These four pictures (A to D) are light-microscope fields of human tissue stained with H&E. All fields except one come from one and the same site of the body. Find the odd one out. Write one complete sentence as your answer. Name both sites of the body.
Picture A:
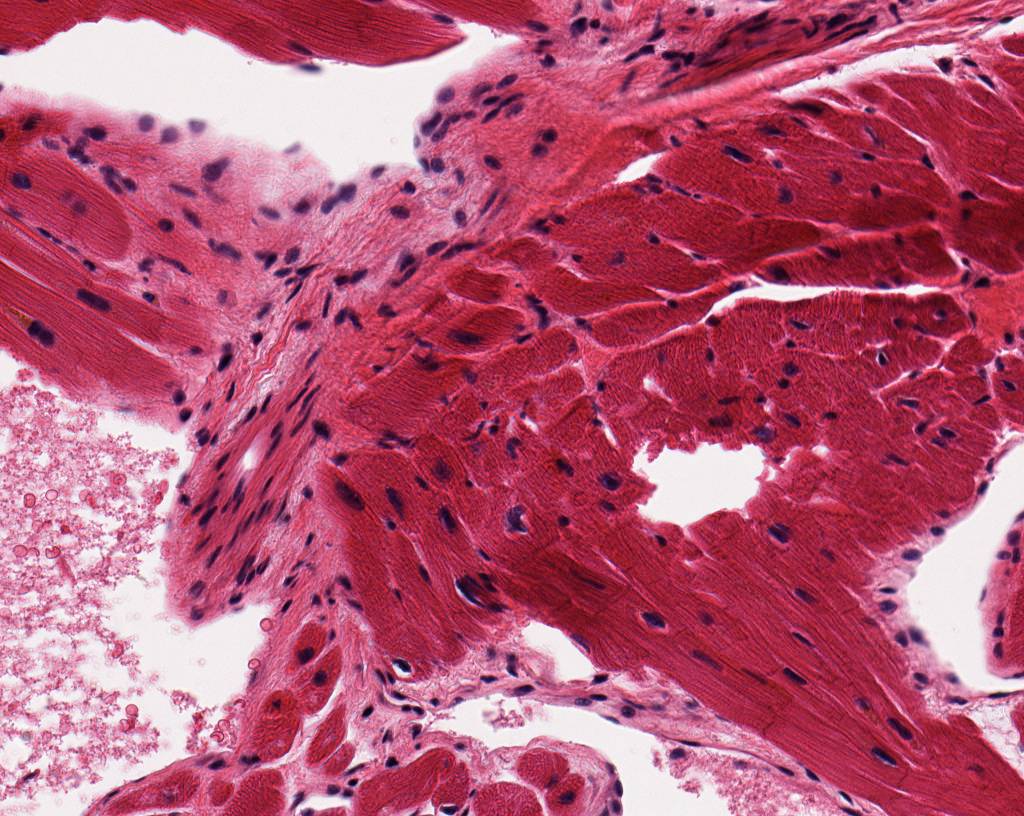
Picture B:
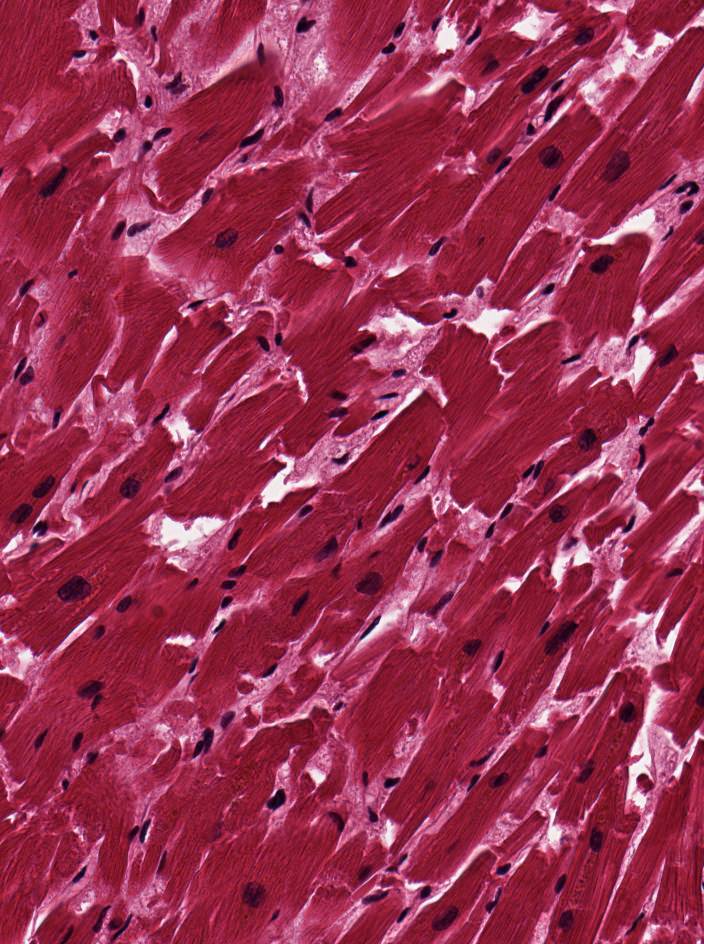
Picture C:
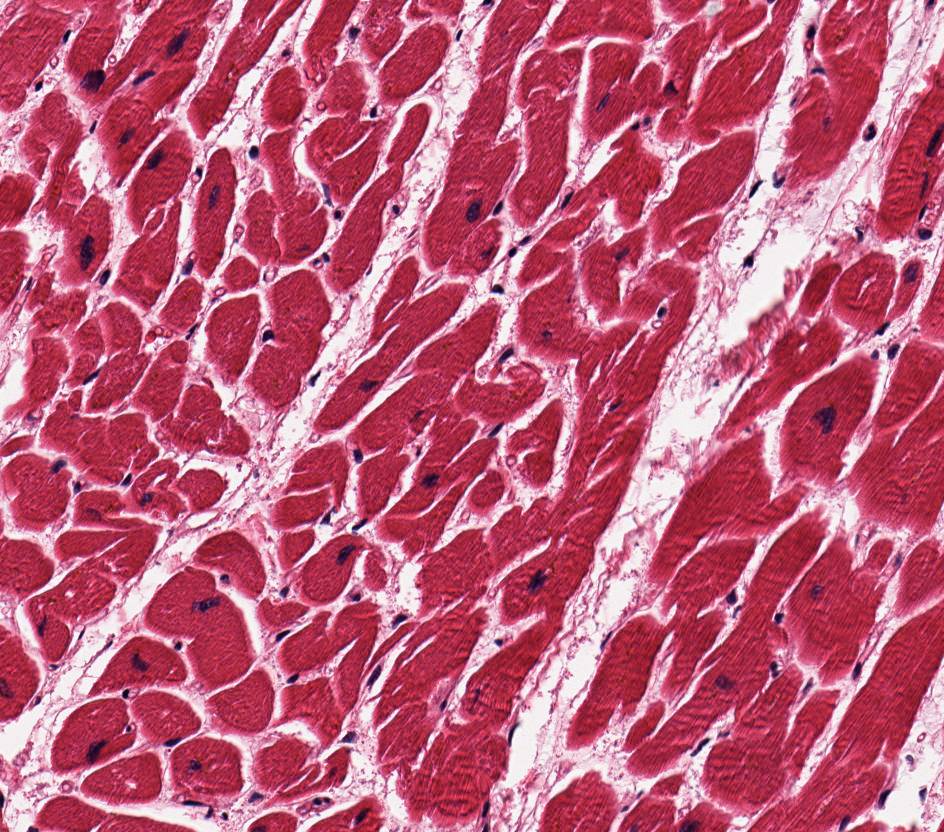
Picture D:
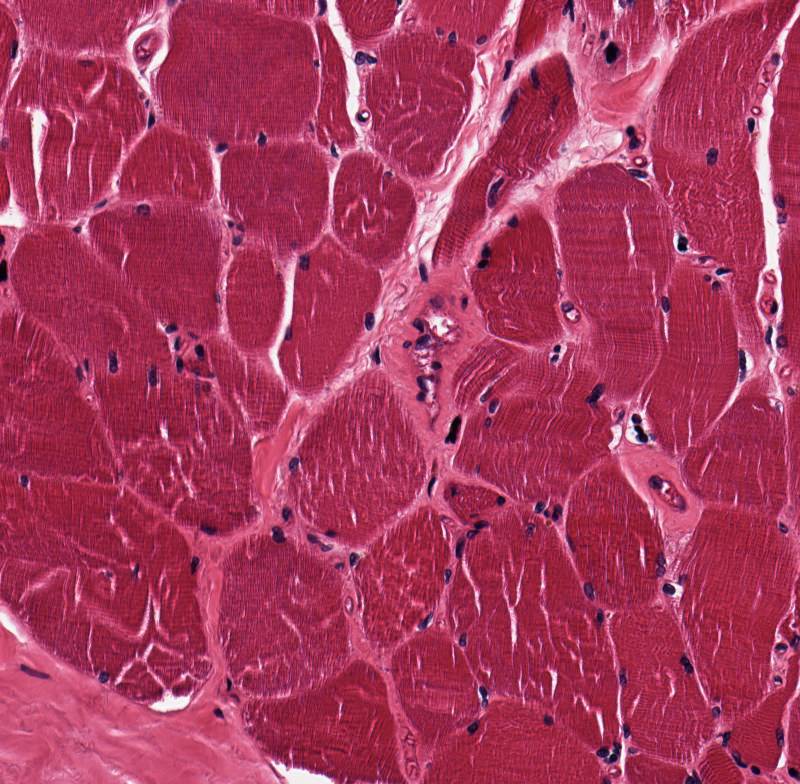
Unlike the rest, which come from the left ventricle of the heart, picture D comes from skeletal muscle.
